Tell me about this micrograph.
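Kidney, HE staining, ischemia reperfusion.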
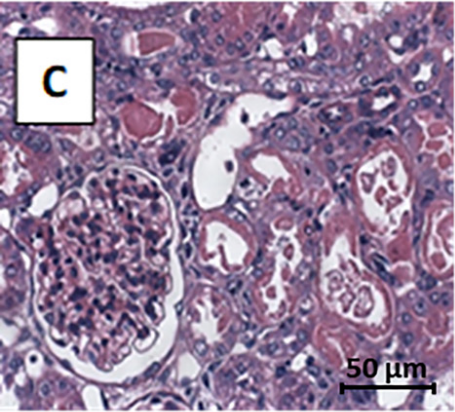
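Renal cortex with a glomerulus at left and surrounding tubules showing damage. The glomerular tuft is cellular with many dark nuclei within its capsule. The tubular architecture is less orderly than in normal cortex.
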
